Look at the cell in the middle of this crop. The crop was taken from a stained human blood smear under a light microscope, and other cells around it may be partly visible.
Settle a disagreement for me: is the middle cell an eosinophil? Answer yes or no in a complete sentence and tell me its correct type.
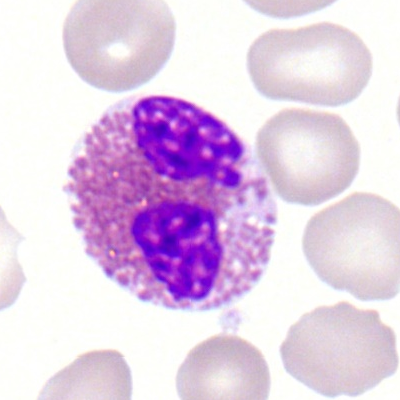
Yes, as for the central cell, it is an eosinophil.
